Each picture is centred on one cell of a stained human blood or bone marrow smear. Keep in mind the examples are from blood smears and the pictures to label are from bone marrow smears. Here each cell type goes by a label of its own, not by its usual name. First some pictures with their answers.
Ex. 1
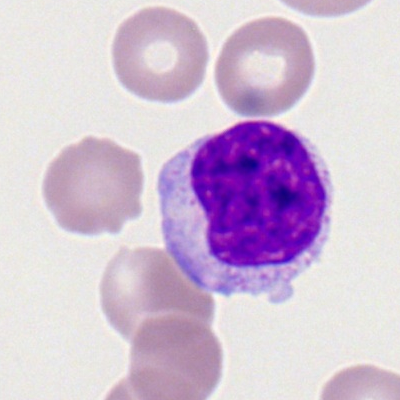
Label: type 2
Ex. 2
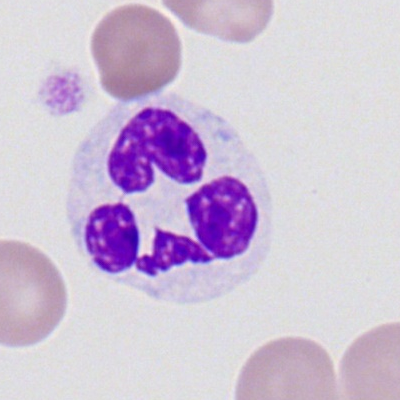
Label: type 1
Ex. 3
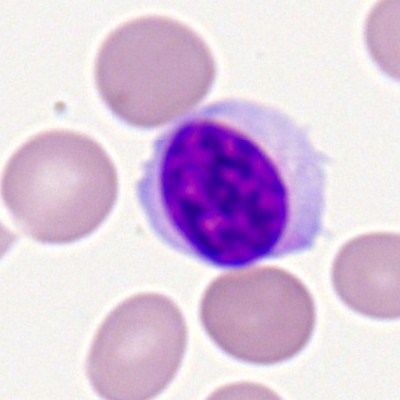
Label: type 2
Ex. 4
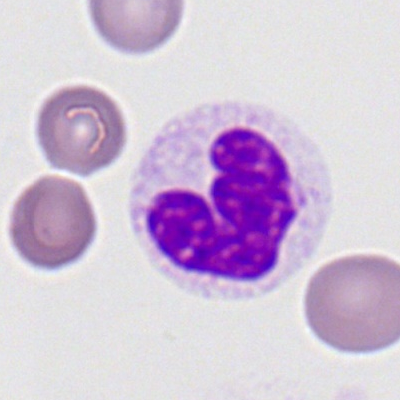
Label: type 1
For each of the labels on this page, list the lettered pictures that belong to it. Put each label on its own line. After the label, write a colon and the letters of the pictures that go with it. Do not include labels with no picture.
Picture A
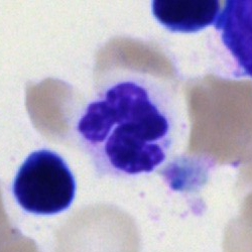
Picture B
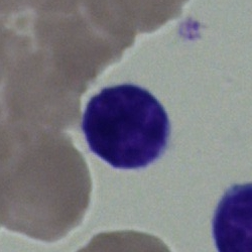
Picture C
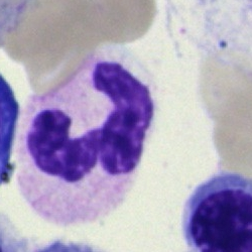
type 2: B
type 1: A, C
